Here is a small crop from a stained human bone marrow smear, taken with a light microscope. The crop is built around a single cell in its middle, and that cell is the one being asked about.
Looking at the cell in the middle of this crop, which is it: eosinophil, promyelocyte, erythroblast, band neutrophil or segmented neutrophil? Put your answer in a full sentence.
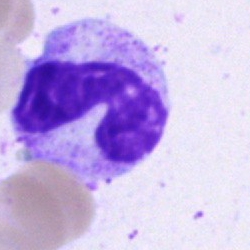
At the center of the crop sits a band neutrophil.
